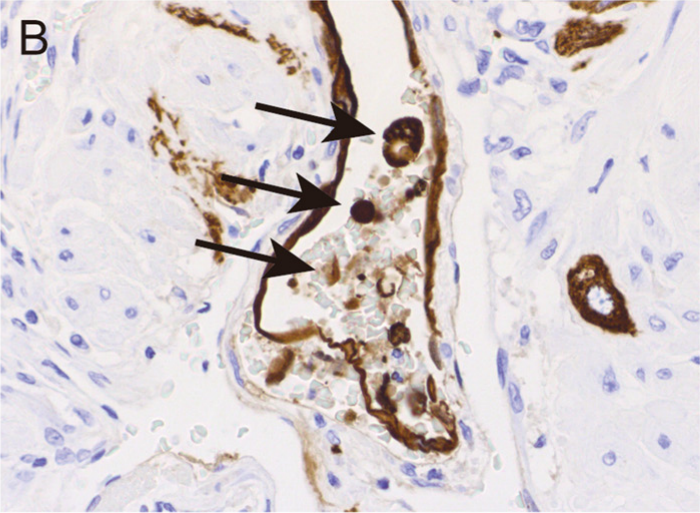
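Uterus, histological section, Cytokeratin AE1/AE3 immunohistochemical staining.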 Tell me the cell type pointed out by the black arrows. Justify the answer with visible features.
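Brown-stained flakes and rounded bodies float inside a vessel lumen among pale red blood cells. Some of the brown bodies are curled or folded. The brown bodies lack blue nuclei. That points to this answer: epithelial squames.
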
